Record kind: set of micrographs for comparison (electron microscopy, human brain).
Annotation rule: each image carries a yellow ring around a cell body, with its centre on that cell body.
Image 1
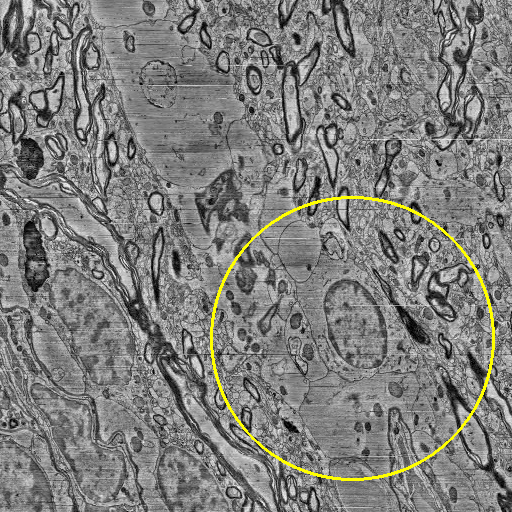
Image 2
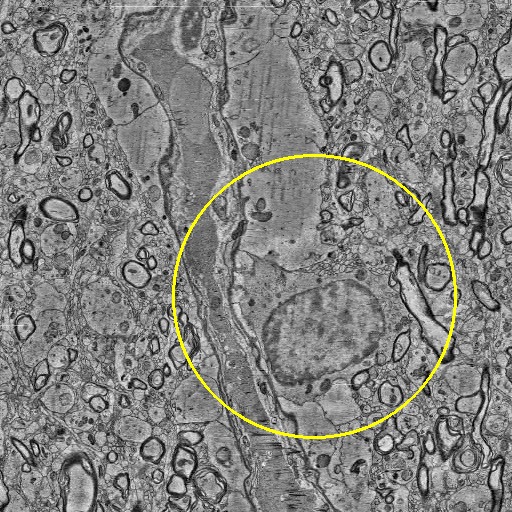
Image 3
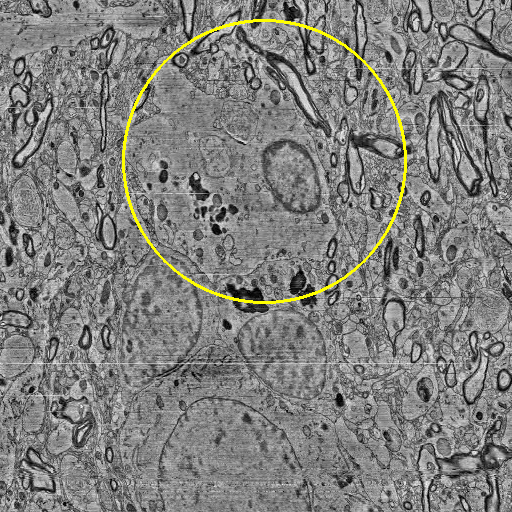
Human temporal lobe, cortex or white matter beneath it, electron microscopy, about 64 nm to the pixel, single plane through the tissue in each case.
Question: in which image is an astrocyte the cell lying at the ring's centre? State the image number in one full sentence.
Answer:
In image 3, the ring is centred on the cell in question.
